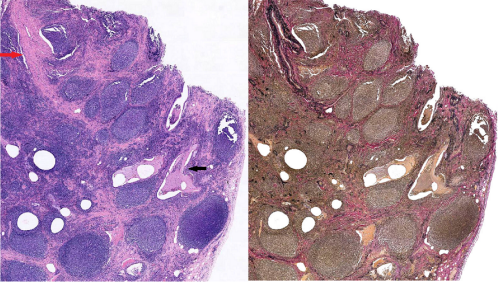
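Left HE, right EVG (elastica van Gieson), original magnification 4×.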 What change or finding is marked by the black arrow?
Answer: cystic appearance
